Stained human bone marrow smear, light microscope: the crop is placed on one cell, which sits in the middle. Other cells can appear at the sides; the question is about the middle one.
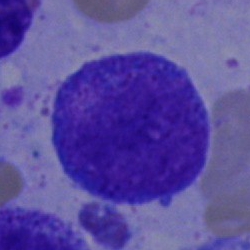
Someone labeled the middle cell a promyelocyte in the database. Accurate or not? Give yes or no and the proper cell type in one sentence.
Yes, the cell that lies centrally is a promyelocyte.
